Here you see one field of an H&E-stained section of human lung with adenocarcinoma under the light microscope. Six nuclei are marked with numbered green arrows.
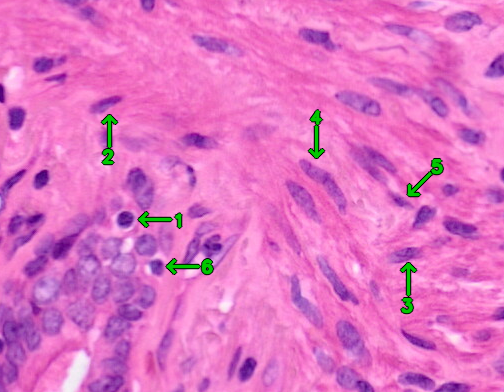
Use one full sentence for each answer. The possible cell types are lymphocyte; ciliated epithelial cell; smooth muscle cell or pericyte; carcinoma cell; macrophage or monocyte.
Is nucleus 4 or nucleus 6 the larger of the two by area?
Of the two, number 4 is bigger and takes up about 2 times the area of number 6.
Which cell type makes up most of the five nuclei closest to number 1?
Around number 1, most of the five nearest nuclei are those of ciliated epithelial cells.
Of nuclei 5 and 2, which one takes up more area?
Nucleus 2 is the larger one, covering about 1.5 times the area of nucleus 5.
